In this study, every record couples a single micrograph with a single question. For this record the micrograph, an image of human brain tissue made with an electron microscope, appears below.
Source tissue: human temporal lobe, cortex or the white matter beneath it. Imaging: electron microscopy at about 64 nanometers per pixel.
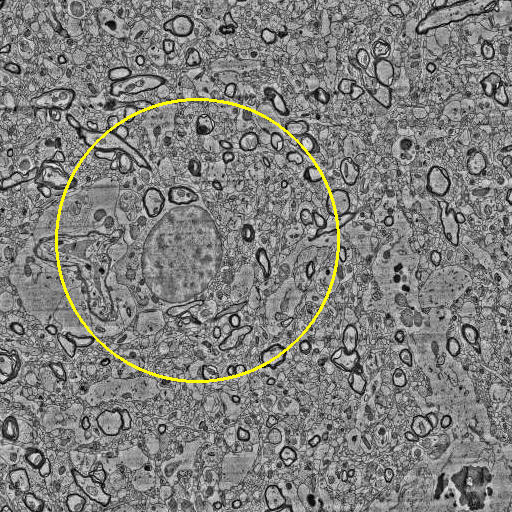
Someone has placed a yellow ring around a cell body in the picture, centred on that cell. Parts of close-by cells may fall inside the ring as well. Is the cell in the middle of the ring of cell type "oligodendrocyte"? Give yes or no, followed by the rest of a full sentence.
Yes, the cell centred in the ring shown in the picture does have that cell type.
